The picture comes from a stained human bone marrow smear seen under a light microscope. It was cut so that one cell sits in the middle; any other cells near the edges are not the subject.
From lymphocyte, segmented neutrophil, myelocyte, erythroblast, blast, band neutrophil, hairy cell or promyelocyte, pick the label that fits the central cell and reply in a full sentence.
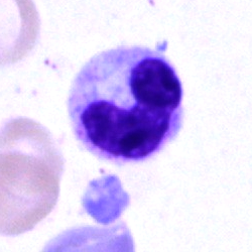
The middle of this crop is occupied by a band neutrophil.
